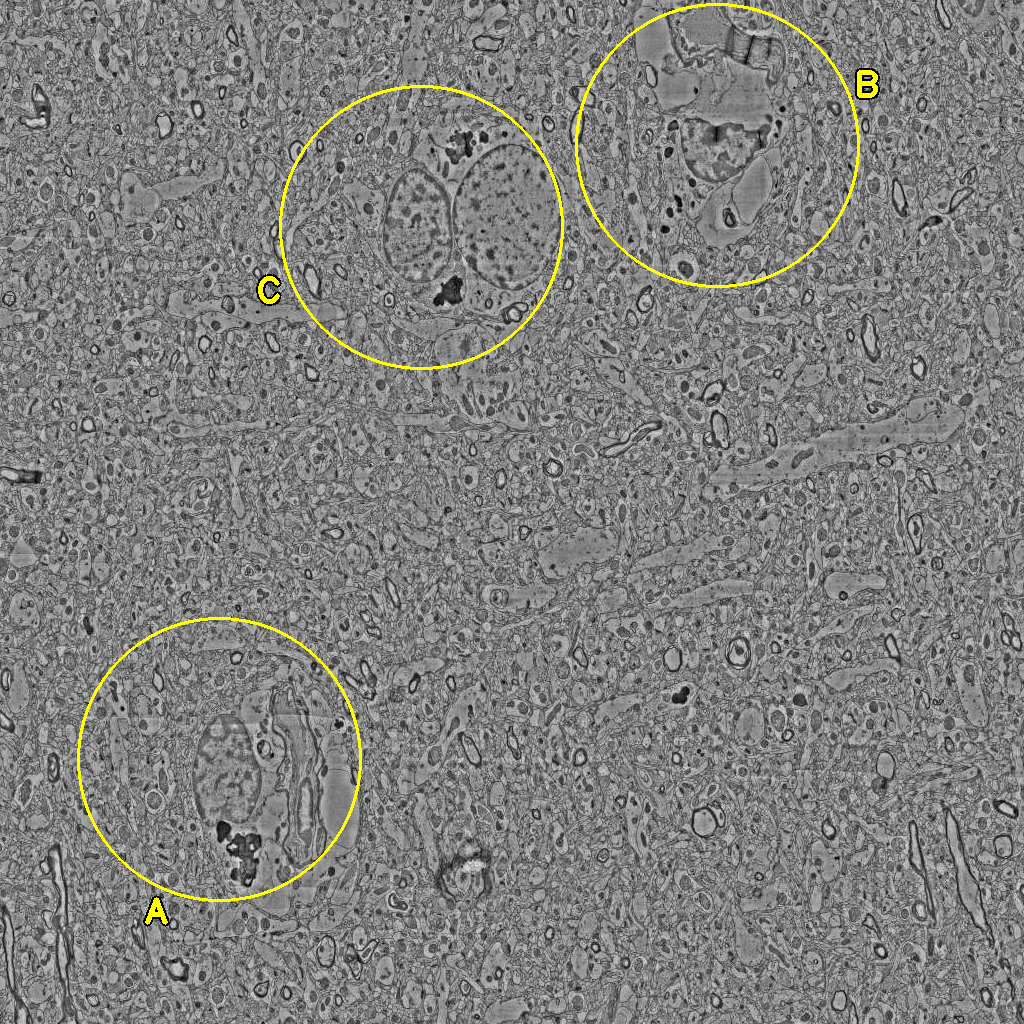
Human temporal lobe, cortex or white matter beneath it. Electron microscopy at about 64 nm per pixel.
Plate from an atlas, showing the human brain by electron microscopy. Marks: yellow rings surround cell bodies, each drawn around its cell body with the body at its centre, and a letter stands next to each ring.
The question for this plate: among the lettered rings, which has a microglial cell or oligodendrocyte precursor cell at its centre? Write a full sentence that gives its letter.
Ring B holds at its centre the cell that the question asks about in the picture.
